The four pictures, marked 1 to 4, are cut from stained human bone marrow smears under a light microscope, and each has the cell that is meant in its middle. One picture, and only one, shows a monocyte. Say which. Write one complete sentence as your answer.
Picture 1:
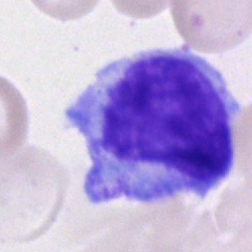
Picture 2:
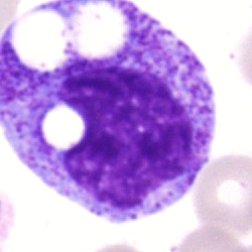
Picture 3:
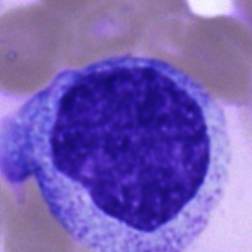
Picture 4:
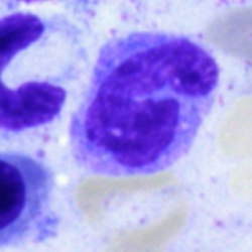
Picture 4 shows the monocyte.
